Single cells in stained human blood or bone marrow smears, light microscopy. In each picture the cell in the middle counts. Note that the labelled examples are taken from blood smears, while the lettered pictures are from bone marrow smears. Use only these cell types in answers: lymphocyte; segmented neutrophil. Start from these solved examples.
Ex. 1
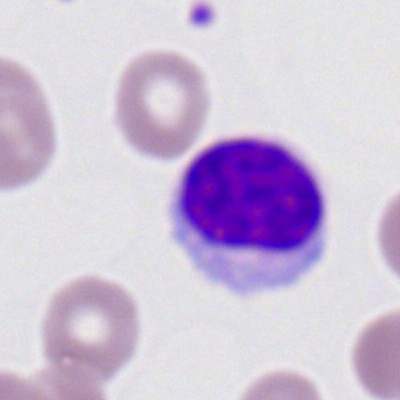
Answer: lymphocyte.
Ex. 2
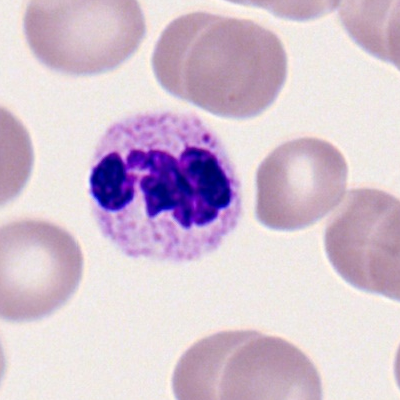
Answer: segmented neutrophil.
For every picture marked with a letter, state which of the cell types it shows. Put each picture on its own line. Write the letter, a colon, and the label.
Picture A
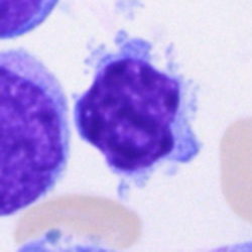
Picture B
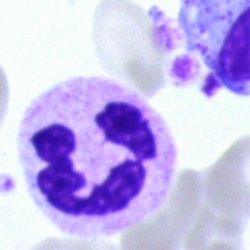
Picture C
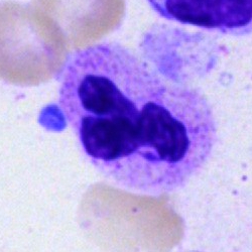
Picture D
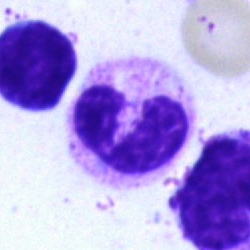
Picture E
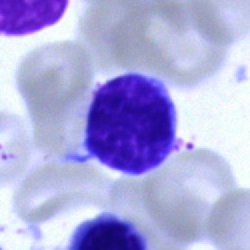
A: lymphocyte.
B: segmented neutrophil.
C: segmented neutrophil.
D: segmented neutrophil.
E: lymphocyte.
